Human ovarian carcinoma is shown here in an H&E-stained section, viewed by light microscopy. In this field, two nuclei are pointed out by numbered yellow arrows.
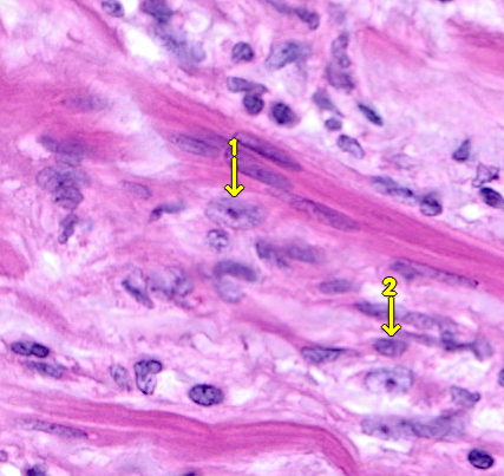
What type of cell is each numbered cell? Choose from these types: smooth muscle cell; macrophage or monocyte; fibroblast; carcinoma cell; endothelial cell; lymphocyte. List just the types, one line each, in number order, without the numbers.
fibroblast
endothelial cell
